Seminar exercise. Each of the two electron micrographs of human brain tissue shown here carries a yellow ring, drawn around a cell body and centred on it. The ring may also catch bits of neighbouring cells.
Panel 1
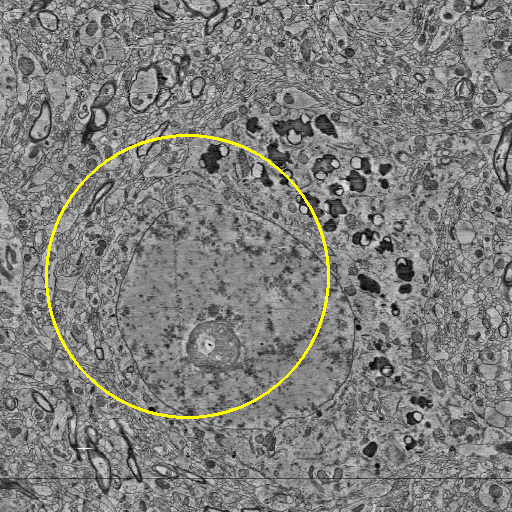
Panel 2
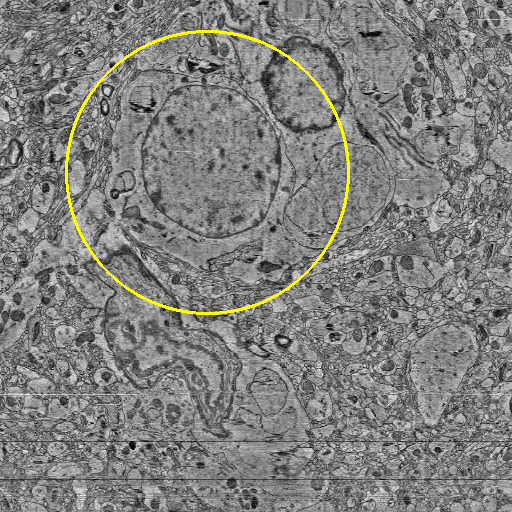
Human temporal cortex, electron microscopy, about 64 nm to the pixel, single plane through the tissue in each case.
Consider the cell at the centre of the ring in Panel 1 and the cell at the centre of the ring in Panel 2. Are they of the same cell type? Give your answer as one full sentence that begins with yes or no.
No, the two cells are of two types.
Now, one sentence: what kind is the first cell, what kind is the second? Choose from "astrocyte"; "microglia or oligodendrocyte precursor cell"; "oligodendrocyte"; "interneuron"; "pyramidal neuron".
The first picture has a pyramidal neuron at its ring centre, and the second has an astrocyte.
